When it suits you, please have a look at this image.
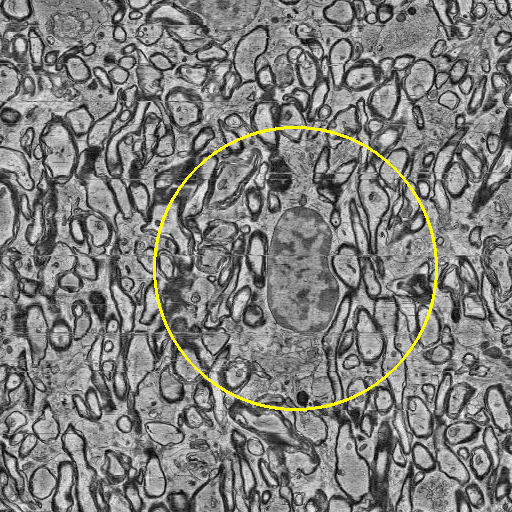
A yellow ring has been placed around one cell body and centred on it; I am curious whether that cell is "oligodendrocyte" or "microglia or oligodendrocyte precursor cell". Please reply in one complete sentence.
The ringed cell, a microglial cell or oligodendrocyte precursor cell, has its body at the centre of the yellow ring.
